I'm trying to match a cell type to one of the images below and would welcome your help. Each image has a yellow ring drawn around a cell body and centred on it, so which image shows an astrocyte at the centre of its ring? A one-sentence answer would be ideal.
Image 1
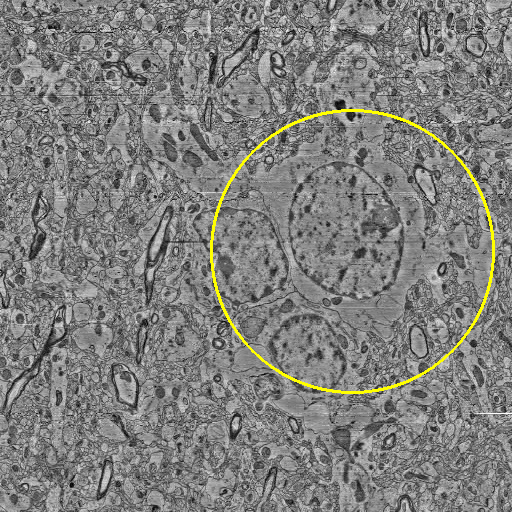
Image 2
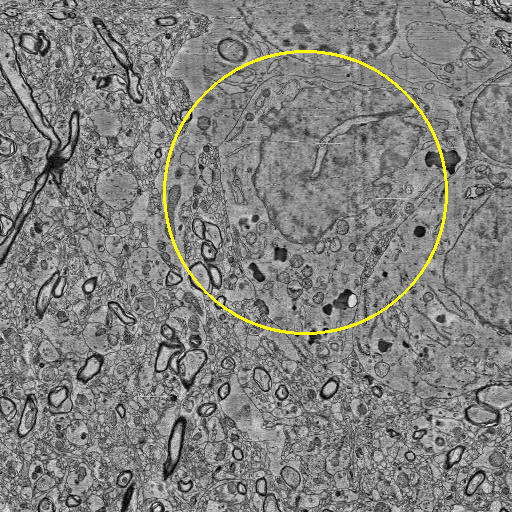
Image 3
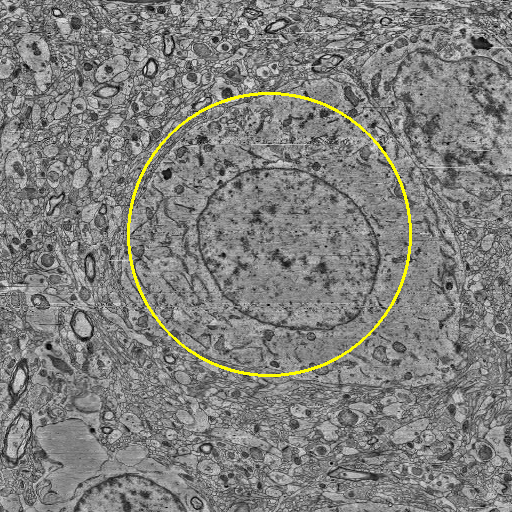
Image 1 shows it at the centre of the ring.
